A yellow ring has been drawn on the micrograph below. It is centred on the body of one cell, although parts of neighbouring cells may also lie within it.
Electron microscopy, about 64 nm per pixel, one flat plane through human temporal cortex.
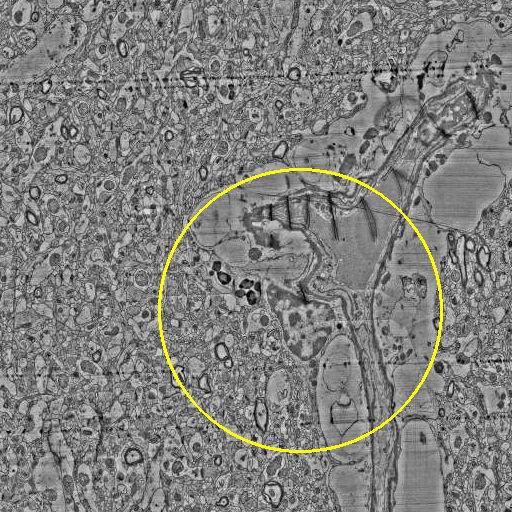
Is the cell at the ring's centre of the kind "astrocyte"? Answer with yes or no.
no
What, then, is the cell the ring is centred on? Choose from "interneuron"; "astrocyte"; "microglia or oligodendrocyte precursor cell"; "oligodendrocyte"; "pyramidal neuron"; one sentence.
The cell at the middle of the ring is a microglial cell or oligodendrocyte precursor cell.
